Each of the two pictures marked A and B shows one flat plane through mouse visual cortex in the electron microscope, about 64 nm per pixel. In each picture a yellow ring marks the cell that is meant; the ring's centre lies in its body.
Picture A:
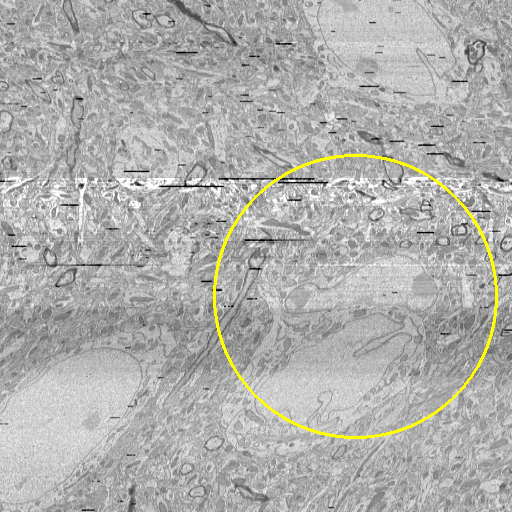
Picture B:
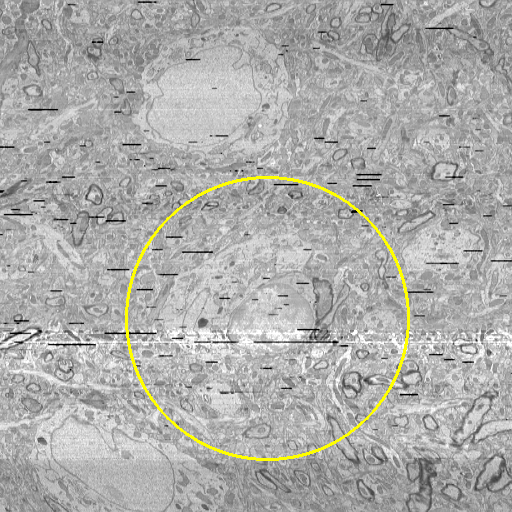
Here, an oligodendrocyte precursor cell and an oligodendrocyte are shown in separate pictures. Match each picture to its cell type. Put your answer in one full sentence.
Picture B shows an oligodendrocyte, while picture A shows an oligodendrocyte precursor cell.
